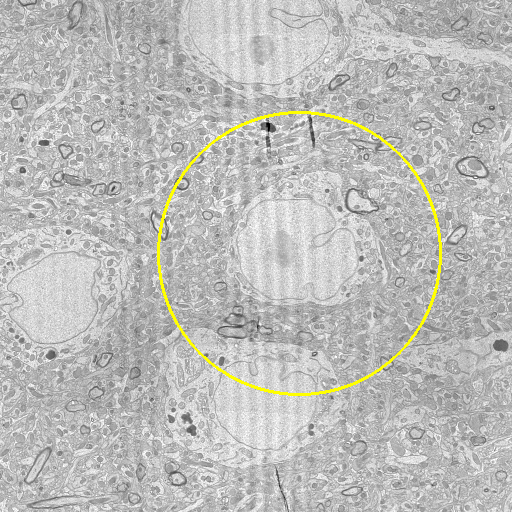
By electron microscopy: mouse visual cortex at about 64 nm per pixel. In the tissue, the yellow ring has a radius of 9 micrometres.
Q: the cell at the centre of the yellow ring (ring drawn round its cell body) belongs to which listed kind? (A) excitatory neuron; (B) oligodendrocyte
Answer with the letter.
A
